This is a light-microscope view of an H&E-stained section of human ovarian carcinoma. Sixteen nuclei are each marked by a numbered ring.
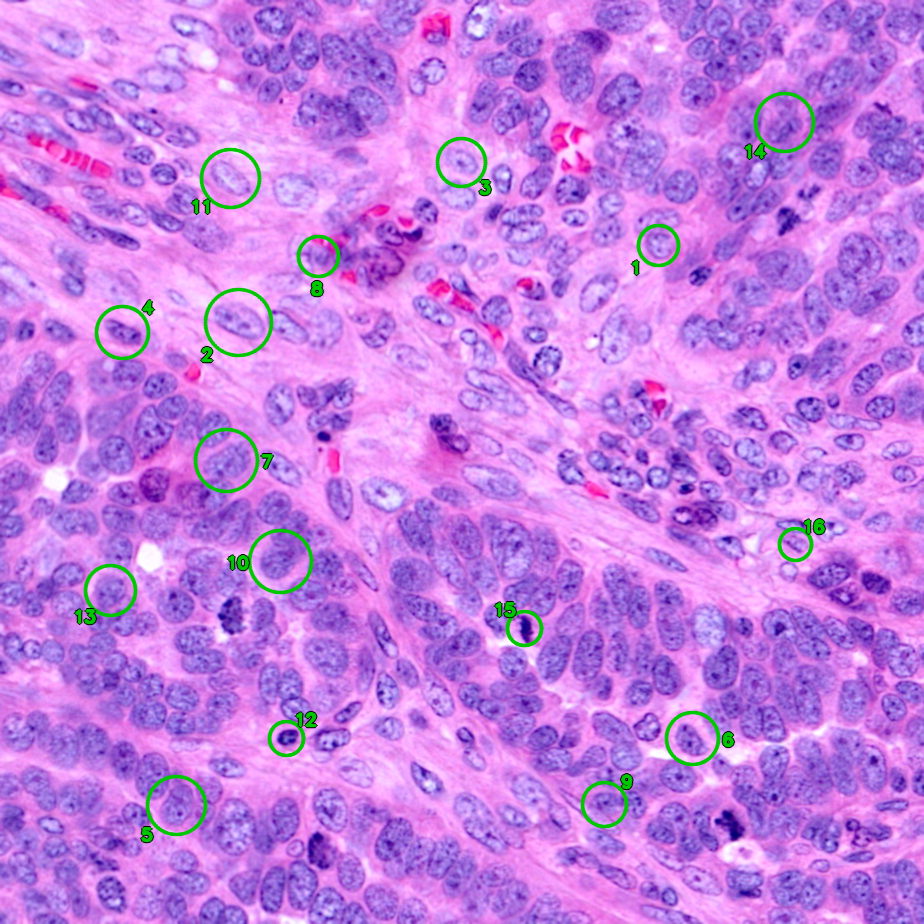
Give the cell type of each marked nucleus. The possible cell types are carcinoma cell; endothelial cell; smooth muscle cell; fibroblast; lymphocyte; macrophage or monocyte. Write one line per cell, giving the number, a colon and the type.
1: endothelial cell
2: fibroblast
3: fibroblast
4: macrophage or monocyte
5: carcinoma cell
6: macrophage or monocyte
7: carcinoma cell
8: endothelial cell
9: carcinoma cell
10: carcinoma cell
11: fibroblast
12: lymphocyte
13: carcinoma cell
14: carcinoma cell
15: carcinoma cell
16: fibroblast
